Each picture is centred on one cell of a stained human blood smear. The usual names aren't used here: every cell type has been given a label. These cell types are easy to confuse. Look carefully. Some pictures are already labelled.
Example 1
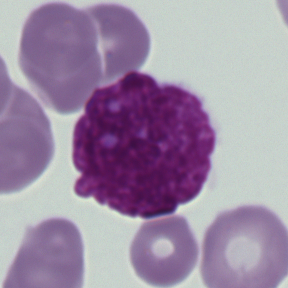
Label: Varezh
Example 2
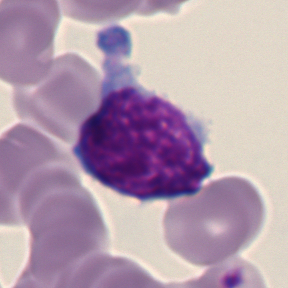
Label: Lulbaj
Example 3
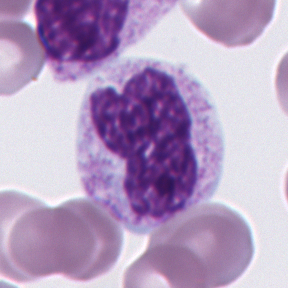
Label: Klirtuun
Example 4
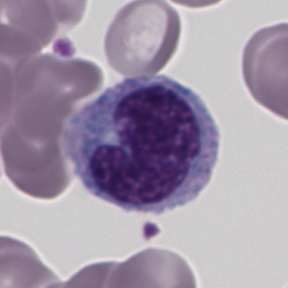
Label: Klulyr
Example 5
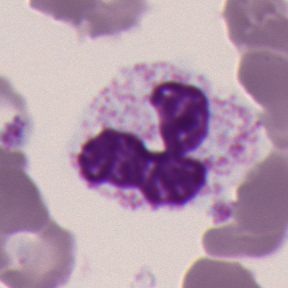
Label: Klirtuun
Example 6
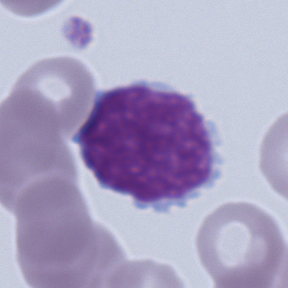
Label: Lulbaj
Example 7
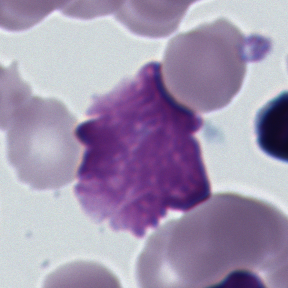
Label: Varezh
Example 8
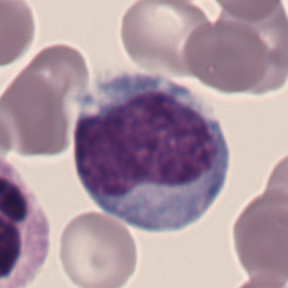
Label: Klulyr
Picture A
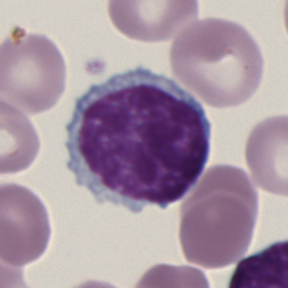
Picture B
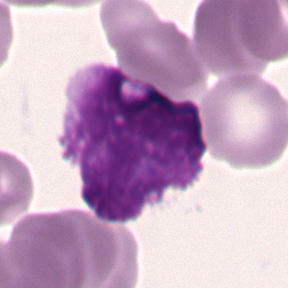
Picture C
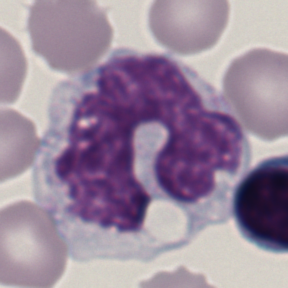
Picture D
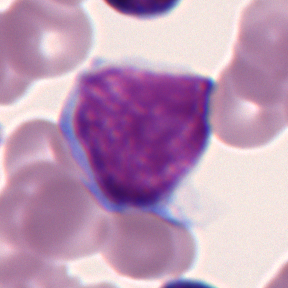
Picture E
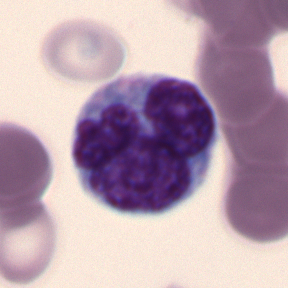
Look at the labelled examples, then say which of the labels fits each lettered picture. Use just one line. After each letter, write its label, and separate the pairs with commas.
A Lulbaj, B Varezh, C Klulyr, D Lulbaj, E Klulyr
